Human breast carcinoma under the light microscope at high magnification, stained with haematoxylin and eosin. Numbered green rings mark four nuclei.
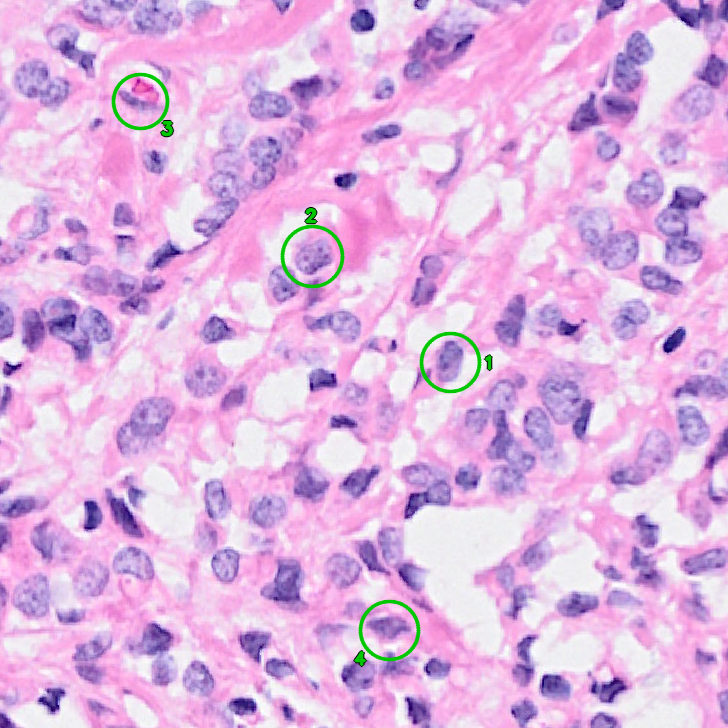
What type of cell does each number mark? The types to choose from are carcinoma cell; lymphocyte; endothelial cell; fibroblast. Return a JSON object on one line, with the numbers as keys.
{"1": "carcinoma cell", "2": "carcinoma cell", "3": "endothelial cell", "4": "carcinoma cell"}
